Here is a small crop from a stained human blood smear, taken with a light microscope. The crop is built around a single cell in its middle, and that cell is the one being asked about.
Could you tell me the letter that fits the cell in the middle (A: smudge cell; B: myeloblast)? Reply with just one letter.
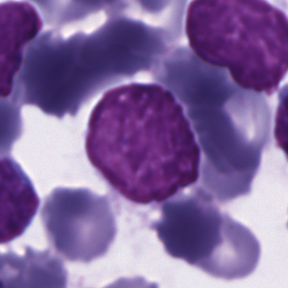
A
